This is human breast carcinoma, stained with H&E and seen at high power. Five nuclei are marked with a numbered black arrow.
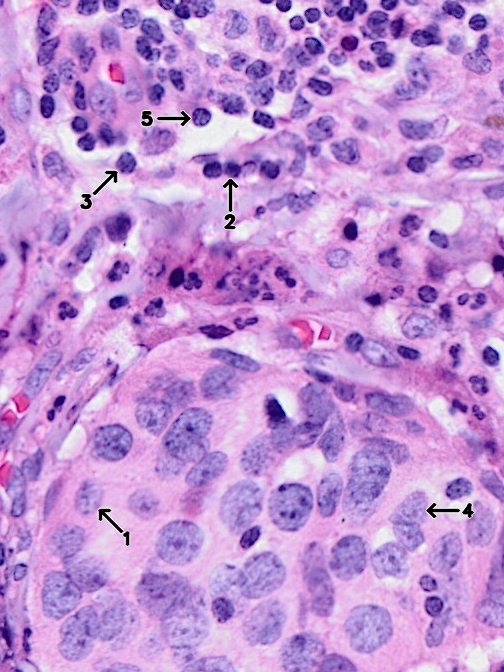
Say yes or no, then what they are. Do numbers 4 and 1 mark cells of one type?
Yes, for cells 4 and 1 alike, the identity is that of carcinoma cells.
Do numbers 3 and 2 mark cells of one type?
Yes, both cells 3 and 2 are lymphocytes.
